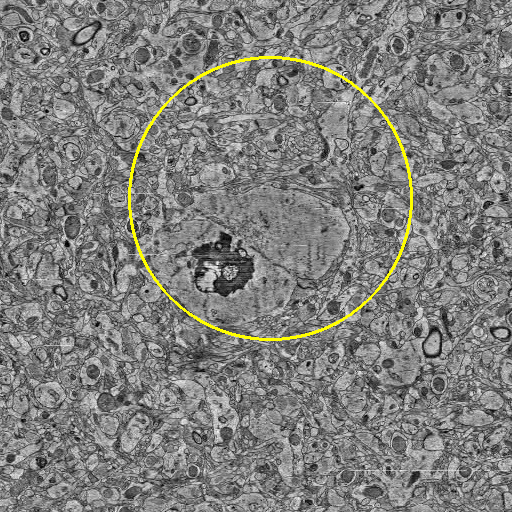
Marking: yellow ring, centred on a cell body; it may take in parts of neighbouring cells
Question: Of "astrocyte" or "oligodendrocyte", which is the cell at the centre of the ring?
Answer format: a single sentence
The ring surrounds the body of an astrocyte.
